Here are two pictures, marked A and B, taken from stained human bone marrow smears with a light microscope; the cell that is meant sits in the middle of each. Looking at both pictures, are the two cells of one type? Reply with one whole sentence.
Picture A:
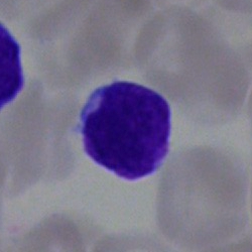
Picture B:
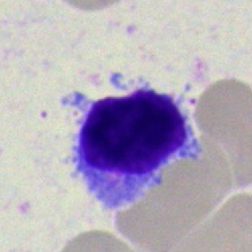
Yes, both are lymphocytes.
